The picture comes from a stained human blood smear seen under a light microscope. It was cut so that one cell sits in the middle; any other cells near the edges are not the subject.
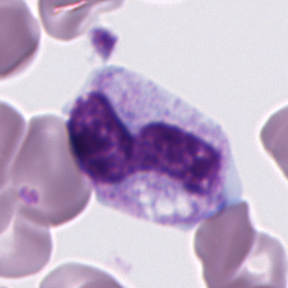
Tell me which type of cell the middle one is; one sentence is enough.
As for the cell in the middle, it is a band neutrophil.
